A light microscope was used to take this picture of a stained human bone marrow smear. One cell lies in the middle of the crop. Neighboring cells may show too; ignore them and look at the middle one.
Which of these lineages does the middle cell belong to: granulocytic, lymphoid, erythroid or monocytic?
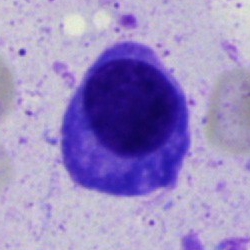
lymphoid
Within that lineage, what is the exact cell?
plasma cell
